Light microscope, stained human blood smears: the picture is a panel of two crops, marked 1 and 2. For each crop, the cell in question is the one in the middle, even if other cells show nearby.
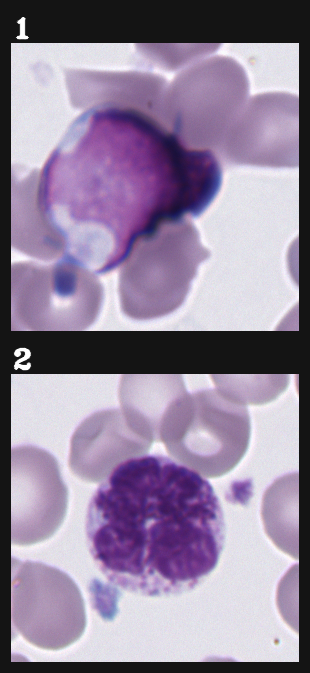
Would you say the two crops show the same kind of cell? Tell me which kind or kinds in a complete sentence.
No, a basophil is depicted in crop 2, whereas a typical lymphocyte is depicted in crop 1.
